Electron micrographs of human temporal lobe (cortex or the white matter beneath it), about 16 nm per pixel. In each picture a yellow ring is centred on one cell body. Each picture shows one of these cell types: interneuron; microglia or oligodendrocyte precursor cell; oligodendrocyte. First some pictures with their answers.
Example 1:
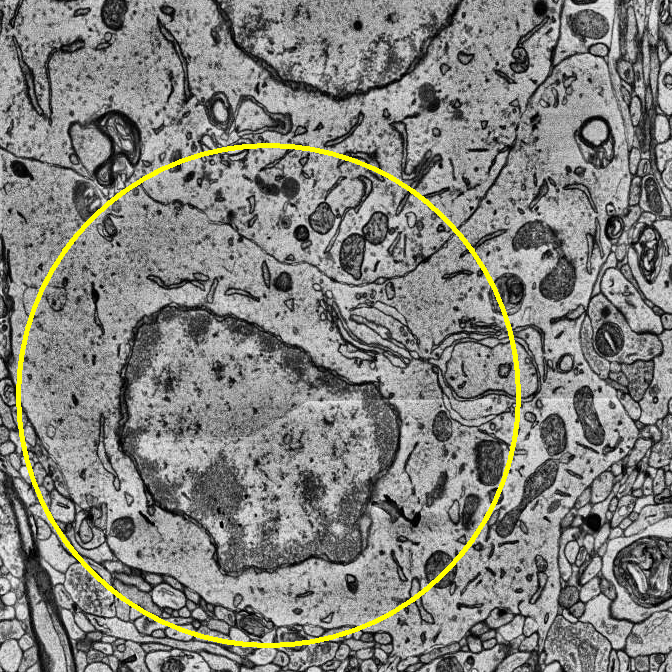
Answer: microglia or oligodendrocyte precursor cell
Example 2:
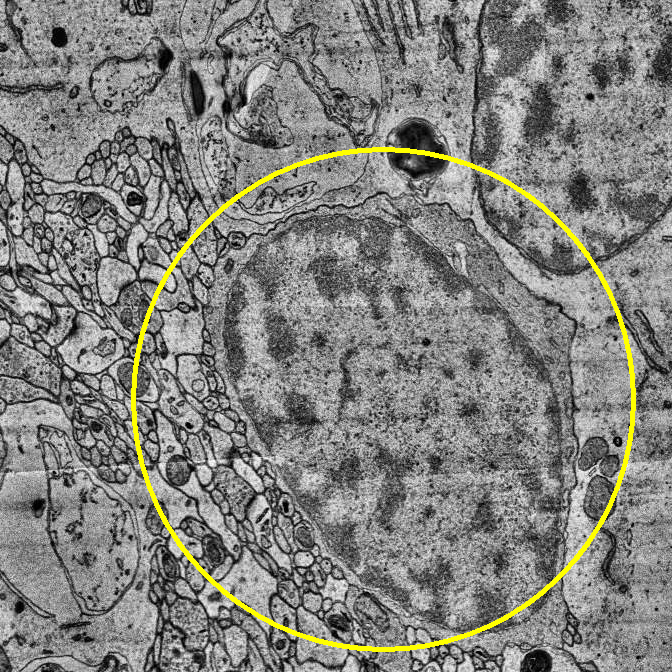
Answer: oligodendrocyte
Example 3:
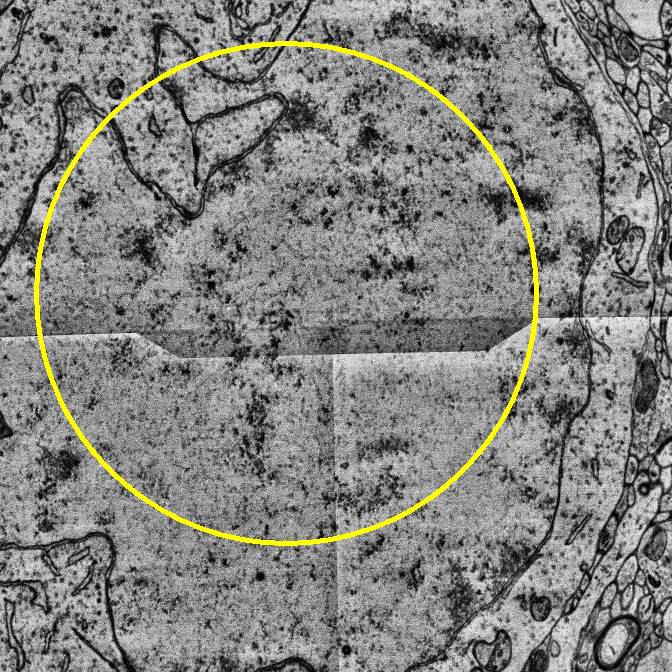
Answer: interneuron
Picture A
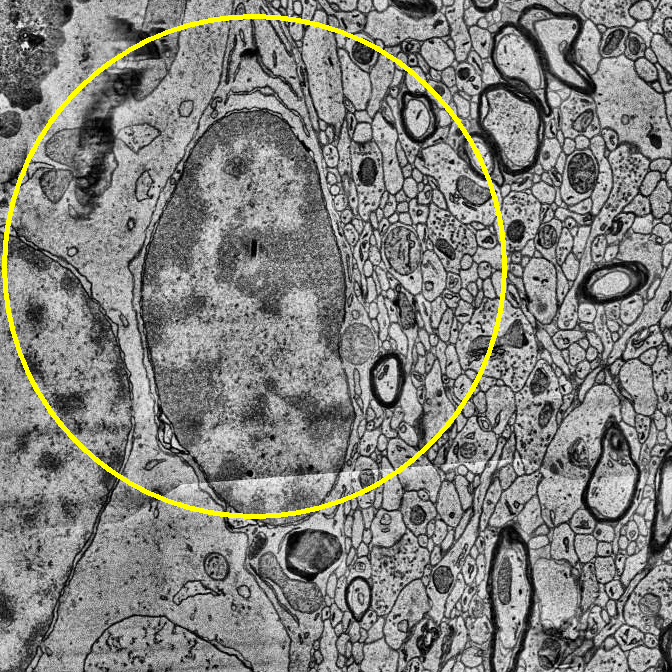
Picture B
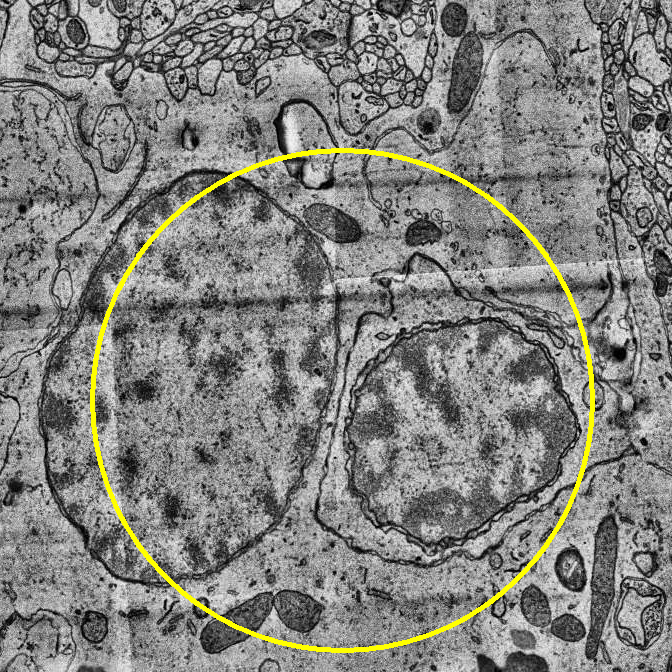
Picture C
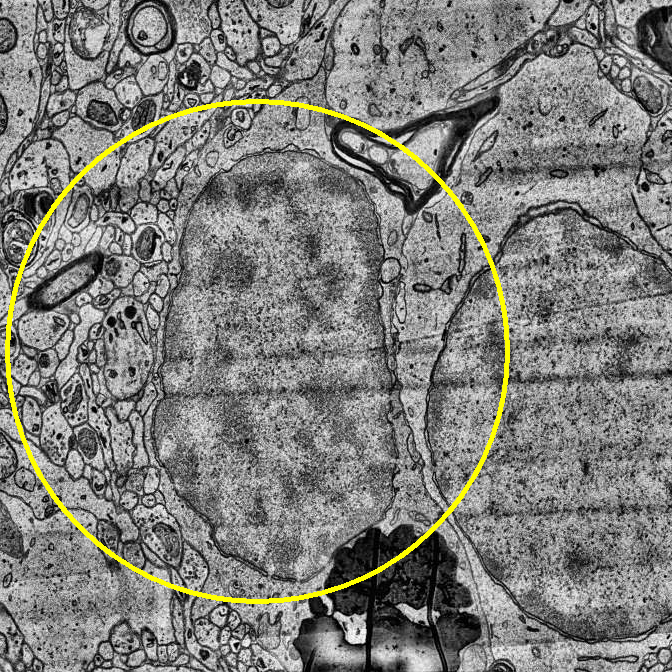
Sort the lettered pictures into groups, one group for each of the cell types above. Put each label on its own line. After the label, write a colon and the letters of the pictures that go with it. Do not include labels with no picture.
microglia or oligodendrocyte precursor cell: A, B
oligodendrocyte: C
